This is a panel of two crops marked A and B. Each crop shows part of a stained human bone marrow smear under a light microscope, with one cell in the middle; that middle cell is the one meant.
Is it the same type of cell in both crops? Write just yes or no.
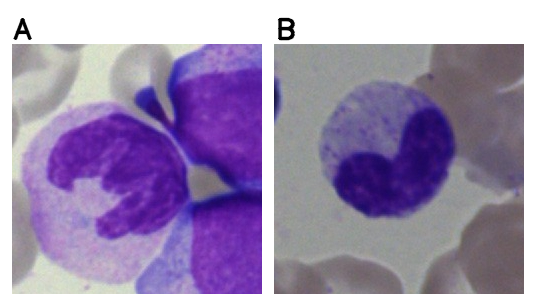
no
